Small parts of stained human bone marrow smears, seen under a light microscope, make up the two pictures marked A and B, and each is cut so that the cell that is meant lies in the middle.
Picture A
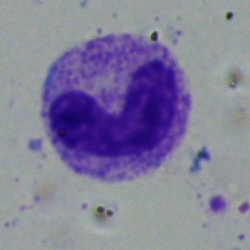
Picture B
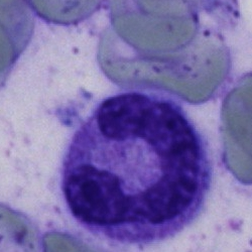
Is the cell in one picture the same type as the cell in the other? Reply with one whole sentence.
Yes, both are band neutrophils.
